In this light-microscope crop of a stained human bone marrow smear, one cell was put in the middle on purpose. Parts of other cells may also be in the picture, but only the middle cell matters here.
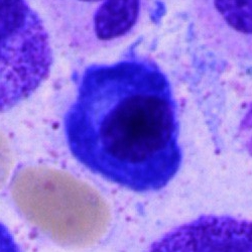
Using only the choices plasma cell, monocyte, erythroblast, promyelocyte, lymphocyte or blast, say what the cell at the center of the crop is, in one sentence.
At the center of the crop sits a plasma cell.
